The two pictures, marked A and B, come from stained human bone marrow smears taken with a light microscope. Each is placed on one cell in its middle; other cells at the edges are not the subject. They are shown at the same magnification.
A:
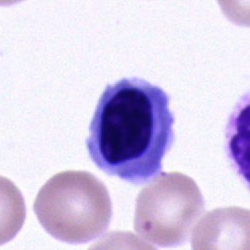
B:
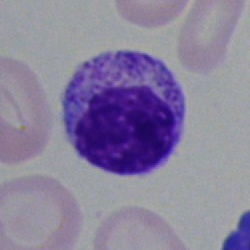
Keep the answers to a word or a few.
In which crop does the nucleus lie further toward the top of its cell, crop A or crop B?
A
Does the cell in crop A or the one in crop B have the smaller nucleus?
A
